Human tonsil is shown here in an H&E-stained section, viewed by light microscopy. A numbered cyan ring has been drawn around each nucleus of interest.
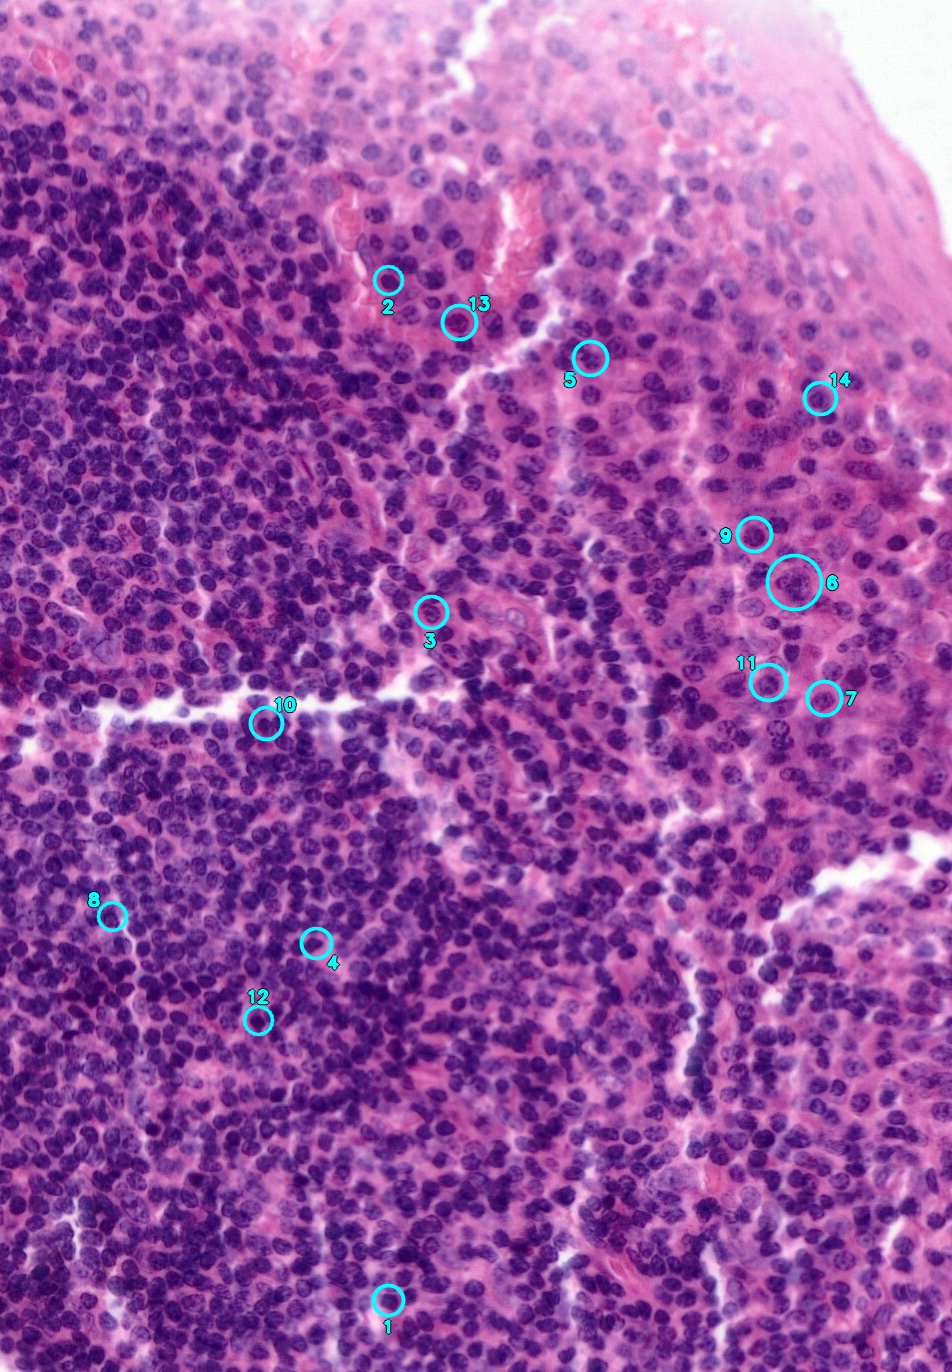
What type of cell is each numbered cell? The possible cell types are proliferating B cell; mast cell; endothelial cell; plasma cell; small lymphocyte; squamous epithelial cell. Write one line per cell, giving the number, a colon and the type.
1: small lymphocyte
2: plasma cell
3: plasma cell
4: small lymphocyte
5: plasma cell
6: squamous epithelial cell
7: plasma cell
8: small lymphocyte
9: plasma cell
10: small lymphocyte
11: plasma cell
12: small lymphocyte
13: plasma cell
14: plasma cell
